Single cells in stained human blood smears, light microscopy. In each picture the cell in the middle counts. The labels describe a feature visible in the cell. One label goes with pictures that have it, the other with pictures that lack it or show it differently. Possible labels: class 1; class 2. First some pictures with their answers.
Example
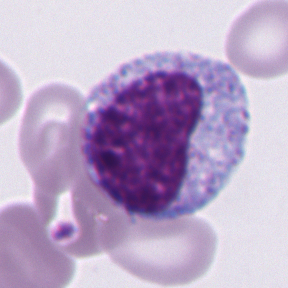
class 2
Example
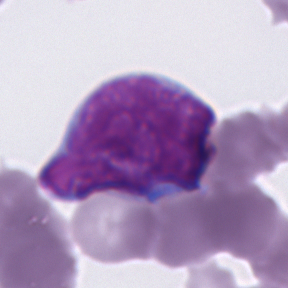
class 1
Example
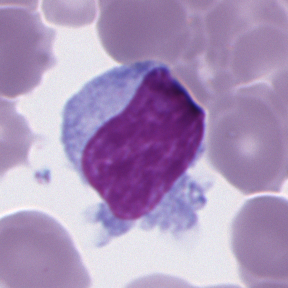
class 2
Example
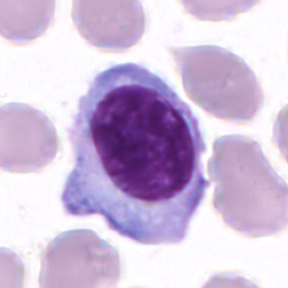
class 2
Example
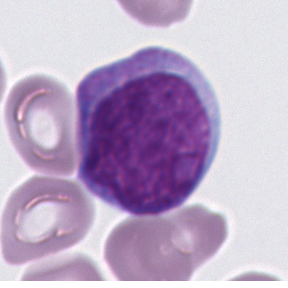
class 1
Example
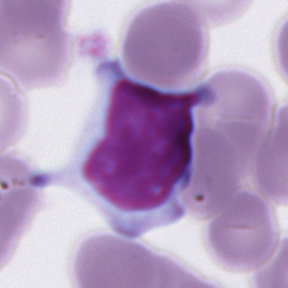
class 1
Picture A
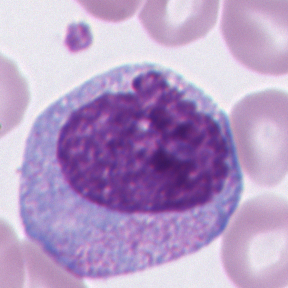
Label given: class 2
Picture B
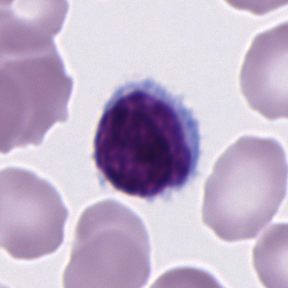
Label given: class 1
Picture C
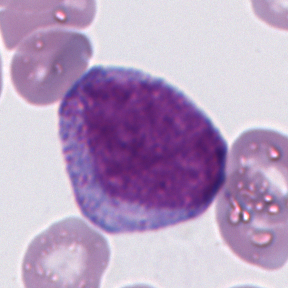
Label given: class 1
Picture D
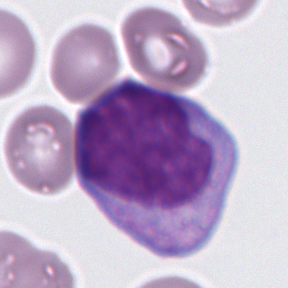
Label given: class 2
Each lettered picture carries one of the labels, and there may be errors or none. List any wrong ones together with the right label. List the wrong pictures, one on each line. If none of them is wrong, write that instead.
Nothing to fix; every label fits.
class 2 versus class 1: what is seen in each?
class 2: abundant cytoplasm; class 1: scant cytoplasm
